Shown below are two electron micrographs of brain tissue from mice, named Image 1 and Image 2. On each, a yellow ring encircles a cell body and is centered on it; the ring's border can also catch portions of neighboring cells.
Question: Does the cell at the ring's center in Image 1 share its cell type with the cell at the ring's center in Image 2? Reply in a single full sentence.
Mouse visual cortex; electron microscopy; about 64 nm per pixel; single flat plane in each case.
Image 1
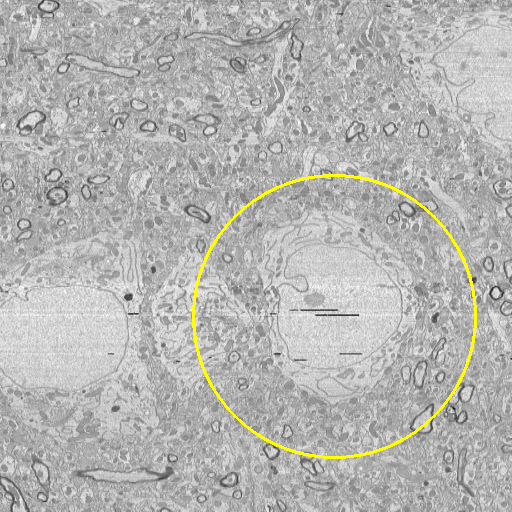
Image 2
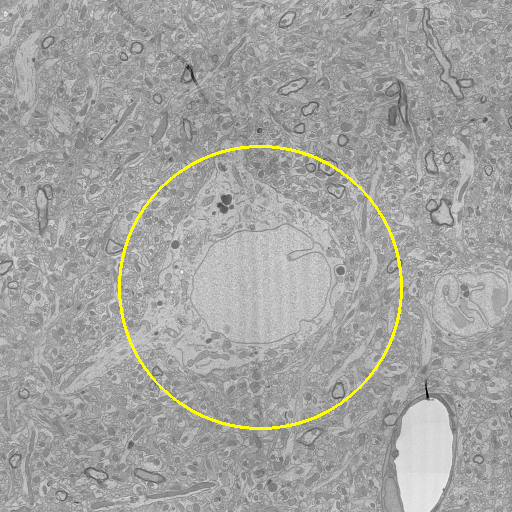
Yes, the two cells at the ring centers, in Image 1 and Image 2, share one cell type.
